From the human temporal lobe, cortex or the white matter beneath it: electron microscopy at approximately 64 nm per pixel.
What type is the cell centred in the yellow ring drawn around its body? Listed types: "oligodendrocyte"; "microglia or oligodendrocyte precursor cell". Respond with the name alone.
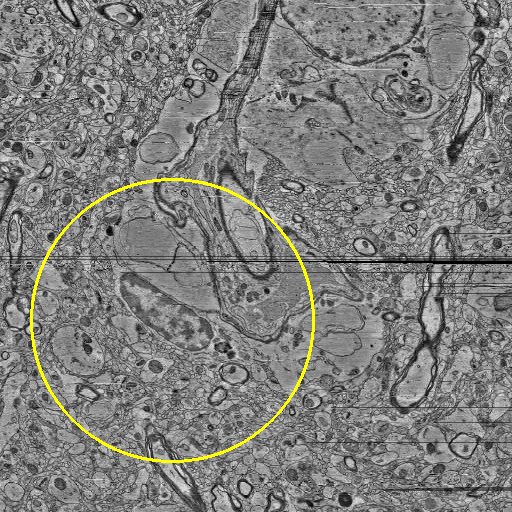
microglia or oligodendrocyte precursor cell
